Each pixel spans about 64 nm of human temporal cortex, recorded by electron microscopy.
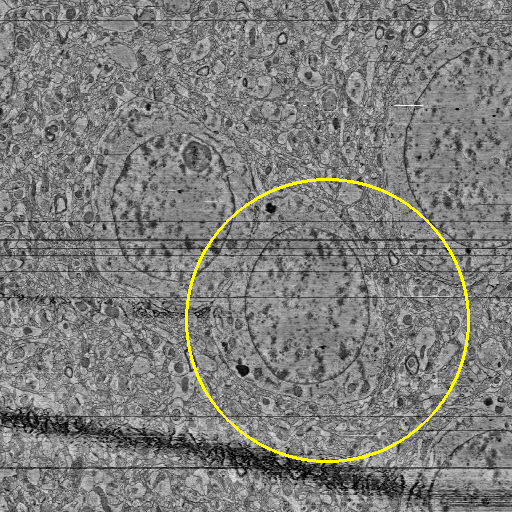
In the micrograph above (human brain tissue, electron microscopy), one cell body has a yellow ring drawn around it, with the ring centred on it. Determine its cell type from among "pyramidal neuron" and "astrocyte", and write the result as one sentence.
The cell whose body is ringed is a pyramidal neuron.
